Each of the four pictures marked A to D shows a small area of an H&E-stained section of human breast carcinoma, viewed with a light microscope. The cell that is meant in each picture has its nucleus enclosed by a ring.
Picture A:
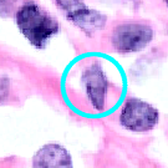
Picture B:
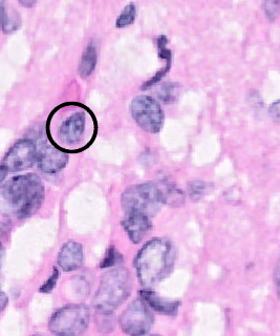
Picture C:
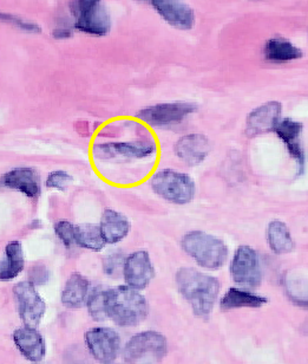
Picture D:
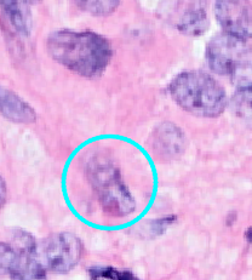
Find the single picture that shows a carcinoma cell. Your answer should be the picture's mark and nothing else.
A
